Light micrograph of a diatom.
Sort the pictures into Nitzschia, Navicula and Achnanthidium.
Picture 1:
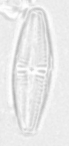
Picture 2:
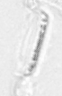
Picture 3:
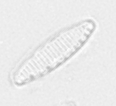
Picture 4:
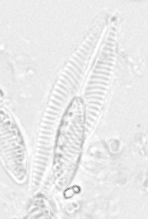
Achnanthidium: 1
Nitzschia: 2, 3
Navicula: 4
